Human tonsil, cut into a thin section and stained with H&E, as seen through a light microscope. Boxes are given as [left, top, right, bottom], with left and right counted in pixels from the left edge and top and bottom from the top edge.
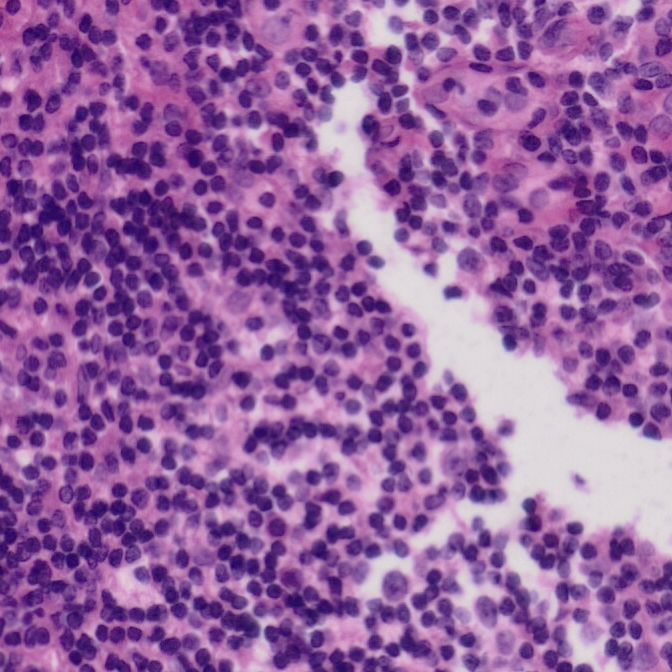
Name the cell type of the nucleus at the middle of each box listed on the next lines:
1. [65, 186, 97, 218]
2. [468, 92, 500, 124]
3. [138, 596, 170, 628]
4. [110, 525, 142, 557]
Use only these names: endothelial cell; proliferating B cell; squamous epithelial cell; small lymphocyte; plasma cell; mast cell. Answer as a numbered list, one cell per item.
1. small lymphocyte
2. endothelial cell
3. small lymphocyte
4. small lymphocyte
